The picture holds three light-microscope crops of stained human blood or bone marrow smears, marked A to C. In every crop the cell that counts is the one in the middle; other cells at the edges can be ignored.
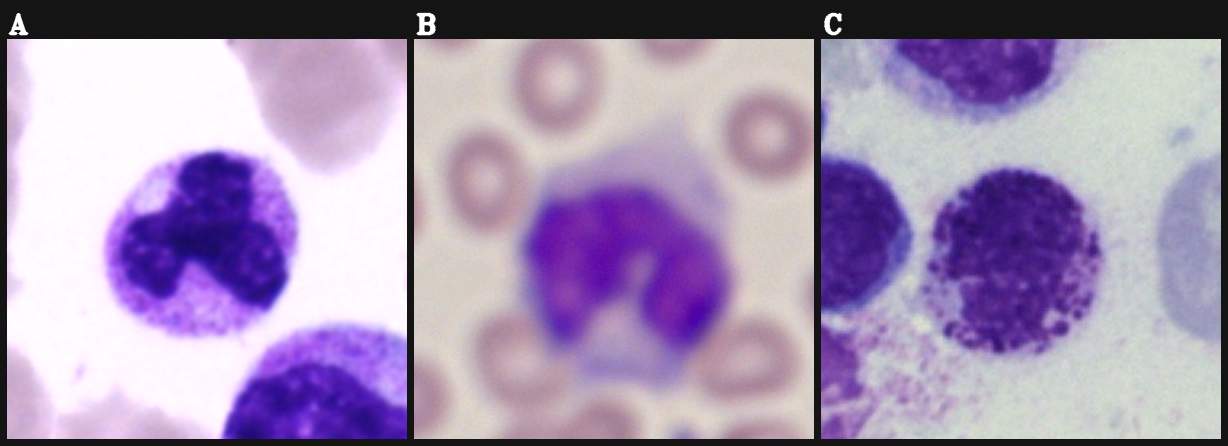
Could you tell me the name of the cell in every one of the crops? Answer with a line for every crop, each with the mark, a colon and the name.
A: neutrophil
B: monocyte
C: basophil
